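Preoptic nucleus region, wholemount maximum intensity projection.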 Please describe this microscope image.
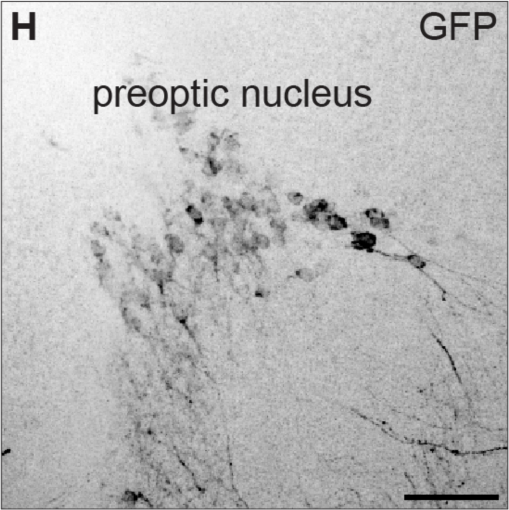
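The cell bodies are rounded and cluster together in the upper middle of the field, some darkly filled and others fainter. Several of the darkest cells lie in a short row toward the right. Thin, beaded, thread-like processes run down and to the right from the cluster, and fainter fibers stream downward at the lower left. The surrounding tissue is otherwise unlabelled.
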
